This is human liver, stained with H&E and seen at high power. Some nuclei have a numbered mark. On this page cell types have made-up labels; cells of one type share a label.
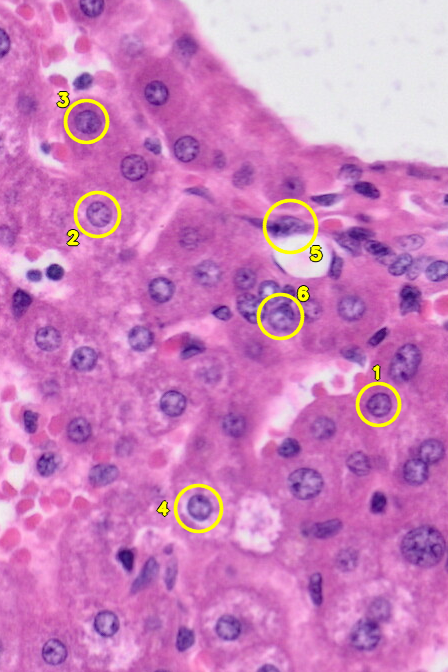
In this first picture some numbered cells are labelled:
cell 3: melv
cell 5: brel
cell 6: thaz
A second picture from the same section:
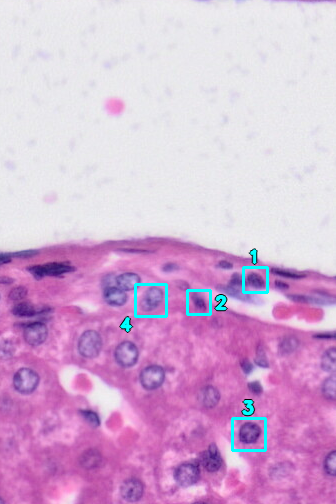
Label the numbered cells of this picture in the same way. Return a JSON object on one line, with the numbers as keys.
{"1": "brel", "2": "brel", "3": "melv", "4": "thaz"}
